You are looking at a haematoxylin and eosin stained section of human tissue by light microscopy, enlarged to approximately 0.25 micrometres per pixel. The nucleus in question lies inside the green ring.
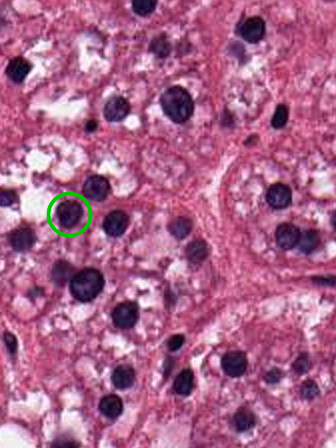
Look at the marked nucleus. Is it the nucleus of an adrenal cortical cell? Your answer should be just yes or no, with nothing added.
yes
